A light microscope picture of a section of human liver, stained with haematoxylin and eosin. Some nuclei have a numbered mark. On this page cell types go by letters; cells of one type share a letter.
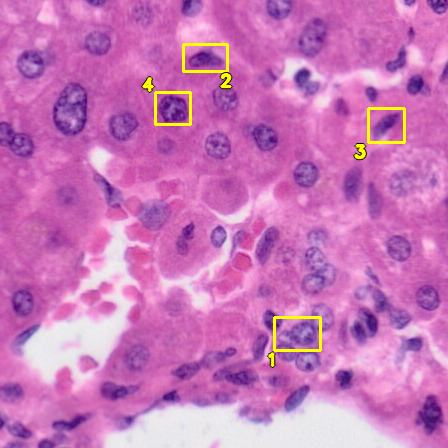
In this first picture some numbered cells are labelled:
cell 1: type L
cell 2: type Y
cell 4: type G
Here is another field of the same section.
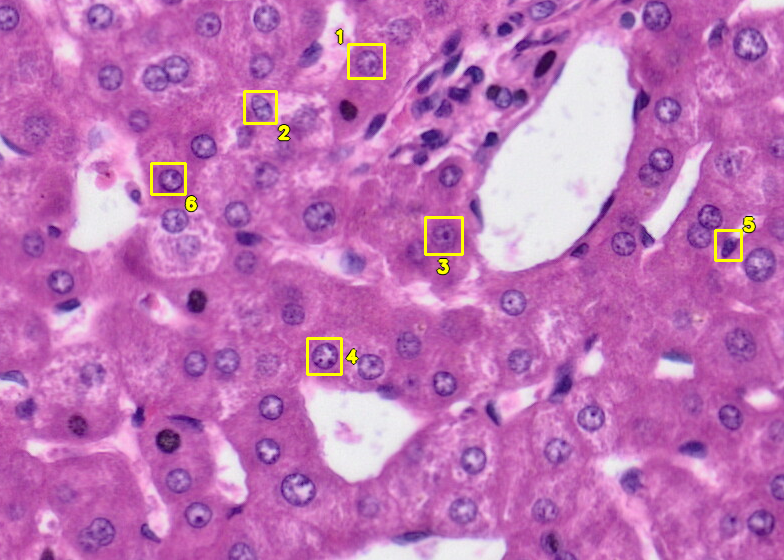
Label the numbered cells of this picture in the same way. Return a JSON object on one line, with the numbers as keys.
{"1": "type G", "2": "type L", "3": "type G", "4": "type G", "5": "type Y", "6": "type G"}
